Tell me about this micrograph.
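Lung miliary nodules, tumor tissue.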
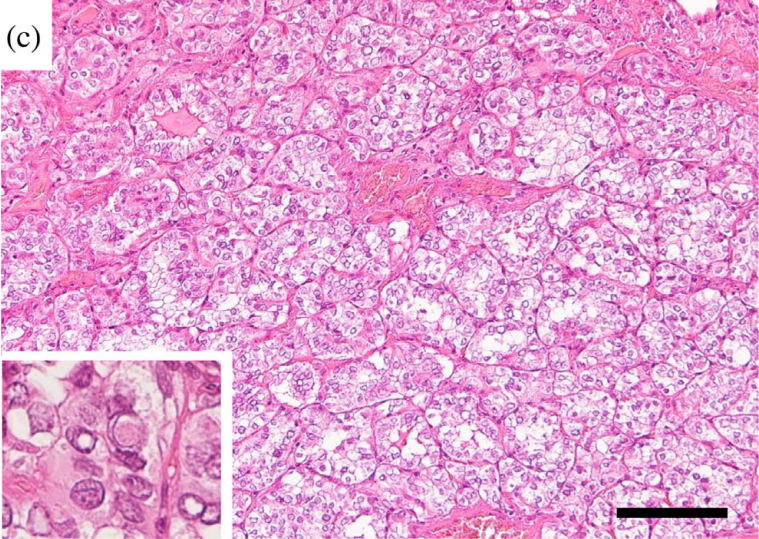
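The cells are packed into many small rounded nests and follicles, each outlined by thin pink fibrous septa with small vessels. The cells have pale to clear cytoplasm and round to oval nuclei with fine pale chromatin. Some follicles hold small lumens with pale or pink content. In the enlarged inset, a nucleus shows a round, sharply bordered pale inclusion.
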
